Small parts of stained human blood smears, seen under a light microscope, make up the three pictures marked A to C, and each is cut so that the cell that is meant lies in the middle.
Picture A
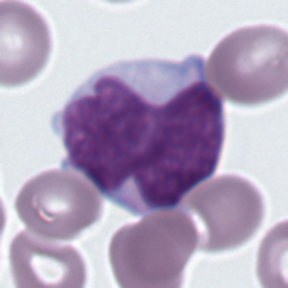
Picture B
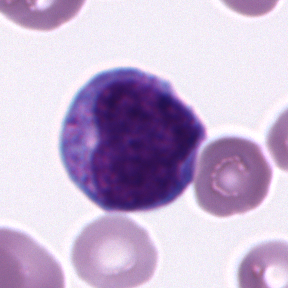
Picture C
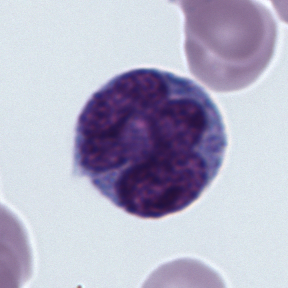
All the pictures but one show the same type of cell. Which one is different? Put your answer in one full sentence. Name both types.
Unlike the rest, which show atypical promyelocytes, picture C shows a monocyte.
